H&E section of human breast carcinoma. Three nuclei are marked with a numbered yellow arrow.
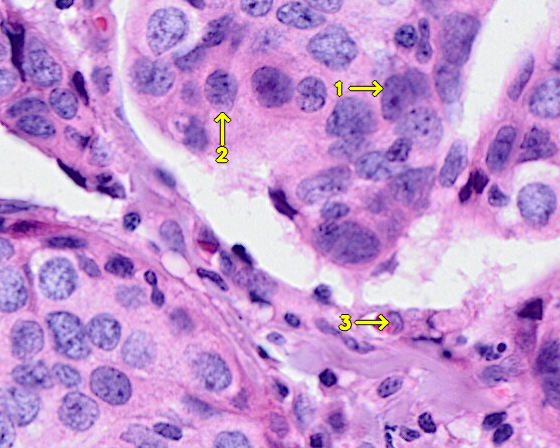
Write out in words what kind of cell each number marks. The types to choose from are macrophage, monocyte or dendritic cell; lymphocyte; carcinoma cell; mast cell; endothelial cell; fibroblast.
Cells 1 and 2 are carcinoma cells. Cell 3 is an endothelial cell.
